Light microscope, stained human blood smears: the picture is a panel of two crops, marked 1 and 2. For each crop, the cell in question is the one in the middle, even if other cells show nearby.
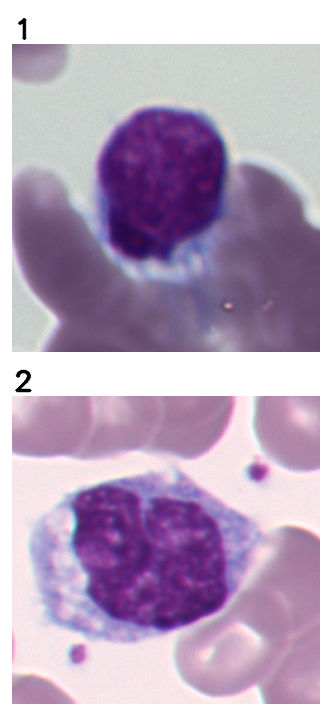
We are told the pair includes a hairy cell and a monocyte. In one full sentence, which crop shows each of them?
Respectively, crops 1 and 2 show a hairy cell and a monocyte.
